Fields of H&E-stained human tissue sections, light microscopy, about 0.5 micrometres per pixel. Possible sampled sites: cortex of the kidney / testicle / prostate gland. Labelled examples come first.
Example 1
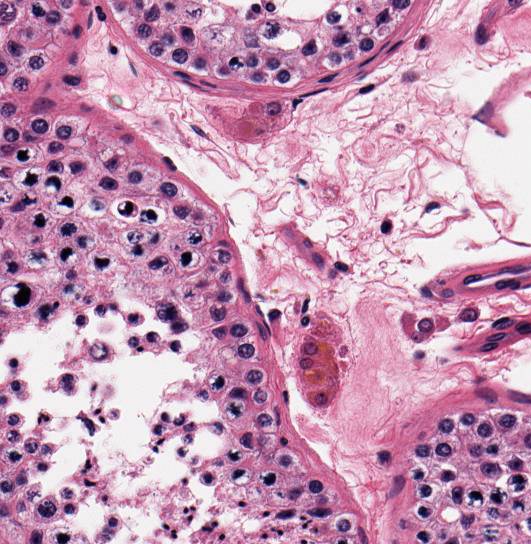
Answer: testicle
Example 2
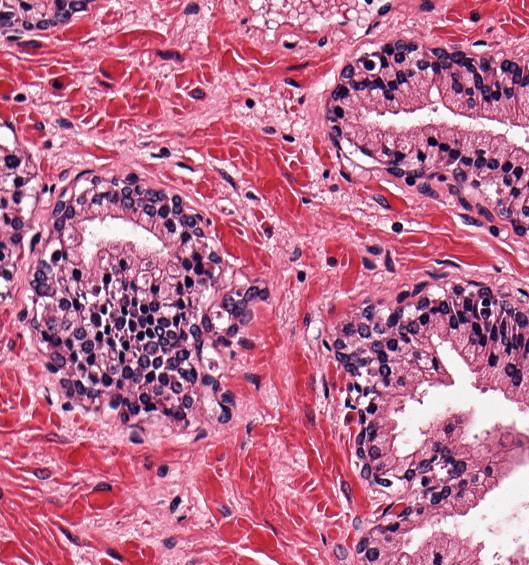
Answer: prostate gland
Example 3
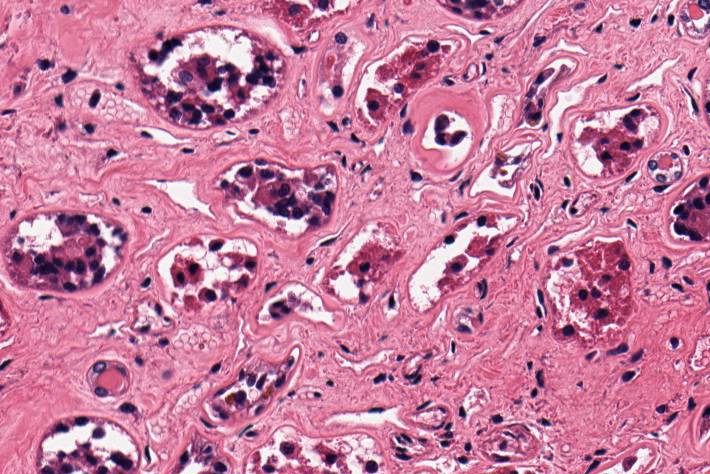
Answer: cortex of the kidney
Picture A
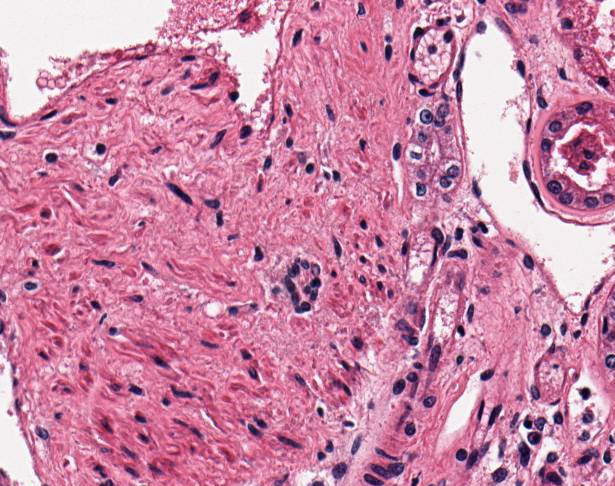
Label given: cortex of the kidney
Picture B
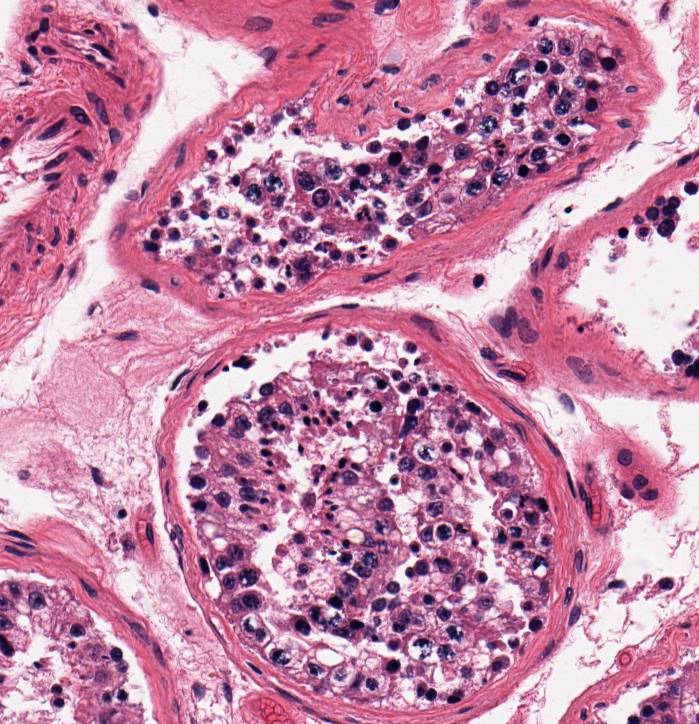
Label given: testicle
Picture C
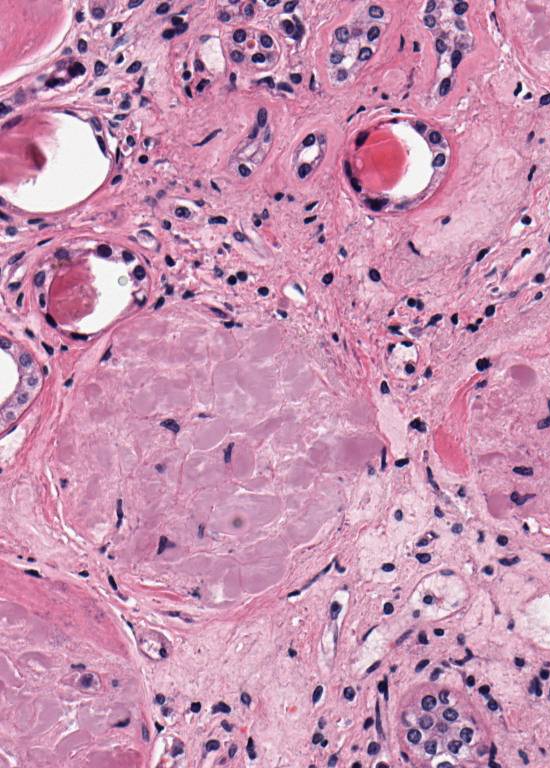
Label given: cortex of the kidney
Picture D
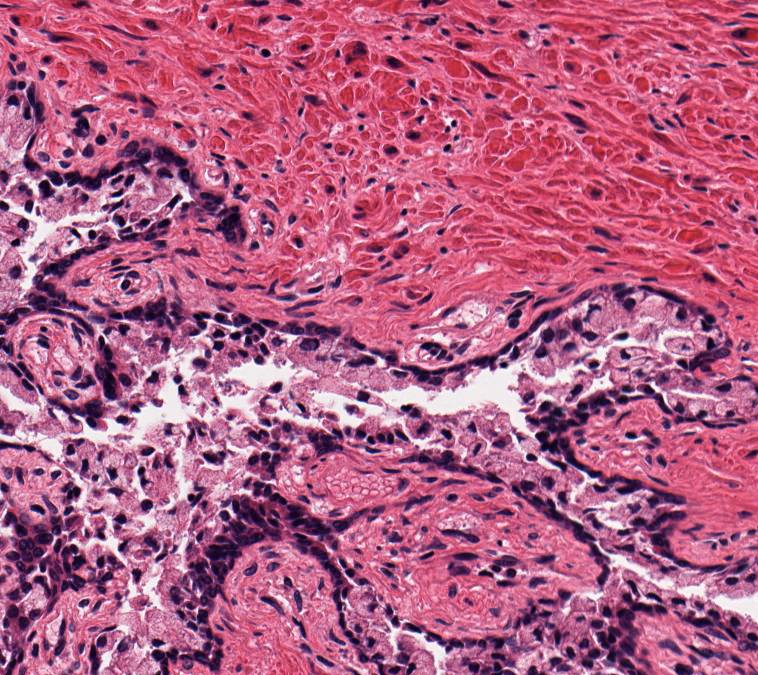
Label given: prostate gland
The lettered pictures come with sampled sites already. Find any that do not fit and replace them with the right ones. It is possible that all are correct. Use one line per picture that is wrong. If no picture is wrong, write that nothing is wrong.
None of the labels needs changing.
